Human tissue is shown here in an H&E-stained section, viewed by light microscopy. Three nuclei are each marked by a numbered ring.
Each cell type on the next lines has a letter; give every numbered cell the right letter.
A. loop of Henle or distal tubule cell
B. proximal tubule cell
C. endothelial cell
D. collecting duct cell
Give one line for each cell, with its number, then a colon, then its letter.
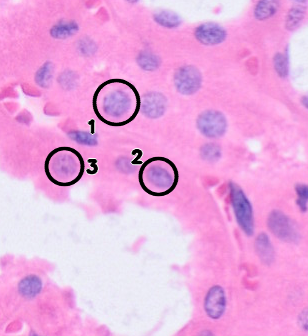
1: A
2: B
3: B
